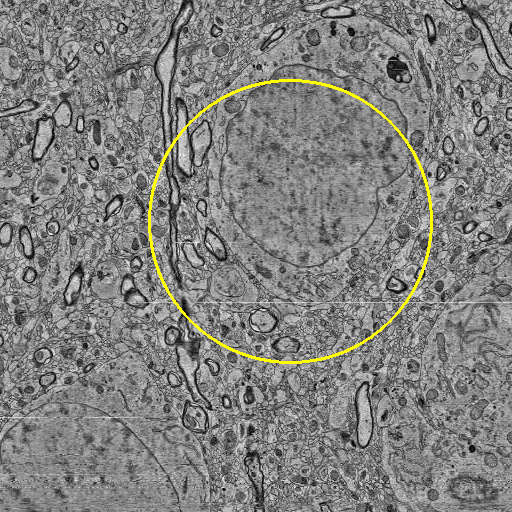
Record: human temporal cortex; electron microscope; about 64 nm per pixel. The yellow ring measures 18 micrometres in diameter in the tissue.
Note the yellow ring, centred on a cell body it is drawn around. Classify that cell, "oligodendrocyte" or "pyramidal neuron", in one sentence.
The cell the ring is centred on is a pyramidal neuron.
